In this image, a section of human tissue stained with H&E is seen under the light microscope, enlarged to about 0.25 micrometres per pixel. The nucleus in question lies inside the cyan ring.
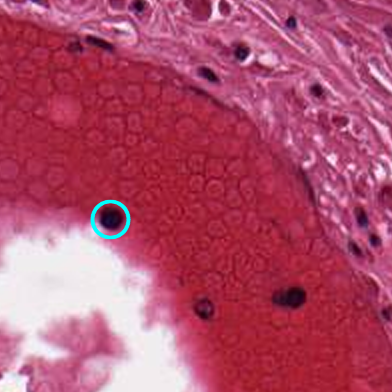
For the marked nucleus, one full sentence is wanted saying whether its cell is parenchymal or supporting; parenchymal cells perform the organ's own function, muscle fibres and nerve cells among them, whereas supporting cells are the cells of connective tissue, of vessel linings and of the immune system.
A supporting cell is what the marked nucleus belongs to.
